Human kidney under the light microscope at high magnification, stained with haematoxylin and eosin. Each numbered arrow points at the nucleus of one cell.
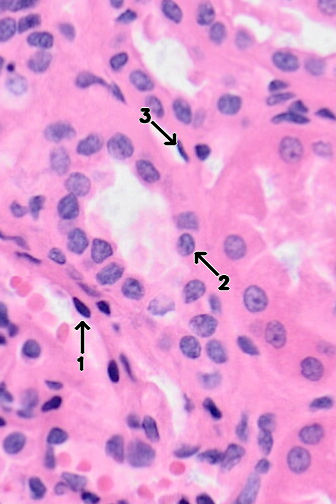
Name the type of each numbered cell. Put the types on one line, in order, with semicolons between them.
endothelial cell; loop of Henle or distal tubule cell; endothelial cell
